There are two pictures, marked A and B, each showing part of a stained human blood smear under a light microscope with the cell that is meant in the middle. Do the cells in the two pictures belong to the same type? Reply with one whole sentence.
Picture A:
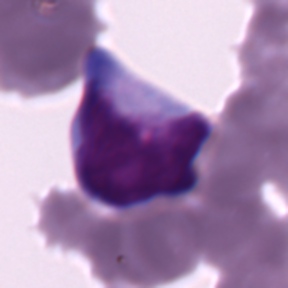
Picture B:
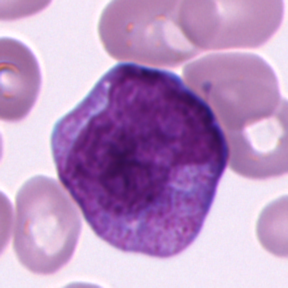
No, they differ: the cell is a myeloblast in picture A and an atypical promyelocyte in picture B.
